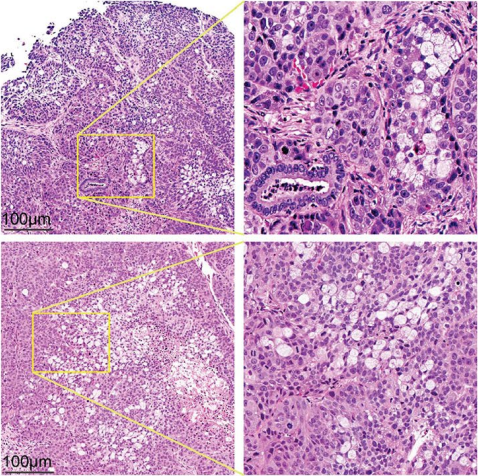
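At low power, this tumour tissue is made of crowded sheets and nests of cells with purple nuclei, separated by thin pink strands of stroma. At higher power, the tumour cells are large and closely packed, with big round to oval nuclei, visible nucleoli and pink cytoplasm. Many cells are scattered among them that have pale, clear, bubbly cytoplasm. In one enlarged area a small gland-like duct with a lumen lies next to the tumour nests.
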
